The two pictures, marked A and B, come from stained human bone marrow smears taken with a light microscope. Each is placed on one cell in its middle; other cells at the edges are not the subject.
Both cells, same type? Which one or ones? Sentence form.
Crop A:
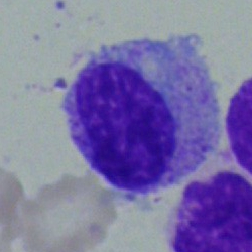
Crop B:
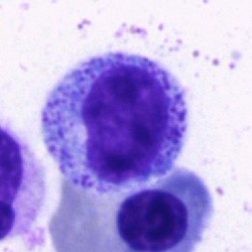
Yes, the two crops show myelocytes, both of them.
